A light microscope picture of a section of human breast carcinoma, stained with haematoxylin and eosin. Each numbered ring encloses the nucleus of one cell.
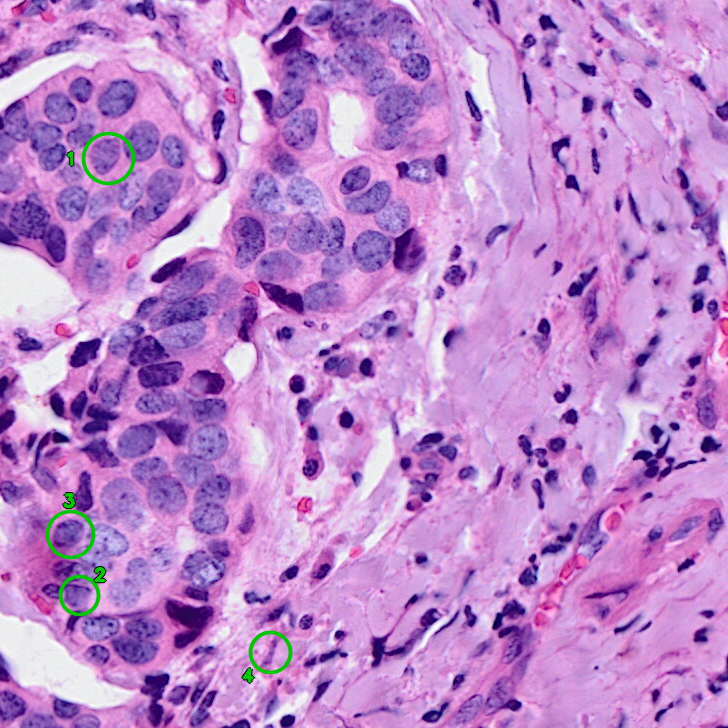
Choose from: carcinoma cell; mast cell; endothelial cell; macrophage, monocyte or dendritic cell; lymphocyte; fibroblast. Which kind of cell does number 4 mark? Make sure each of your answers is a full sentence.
The label 4 in this section denotes a fibroblast.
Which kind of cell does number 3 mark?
Classified as a carcinoma cell is the cell with the number 3.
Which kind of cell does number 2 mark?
The cell that carries the label 2 is a carcinoma cell.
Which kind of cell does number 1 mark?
In this section, the cell numbered 1 is a carcinoma cell.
